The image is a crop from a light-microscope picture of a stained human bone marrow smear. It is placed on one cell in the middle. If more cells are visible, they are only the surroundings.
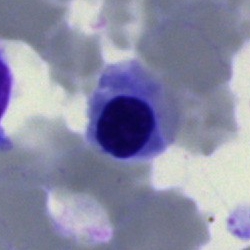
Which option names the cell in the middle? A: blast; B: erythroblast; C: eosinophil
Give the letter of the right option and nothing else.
B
